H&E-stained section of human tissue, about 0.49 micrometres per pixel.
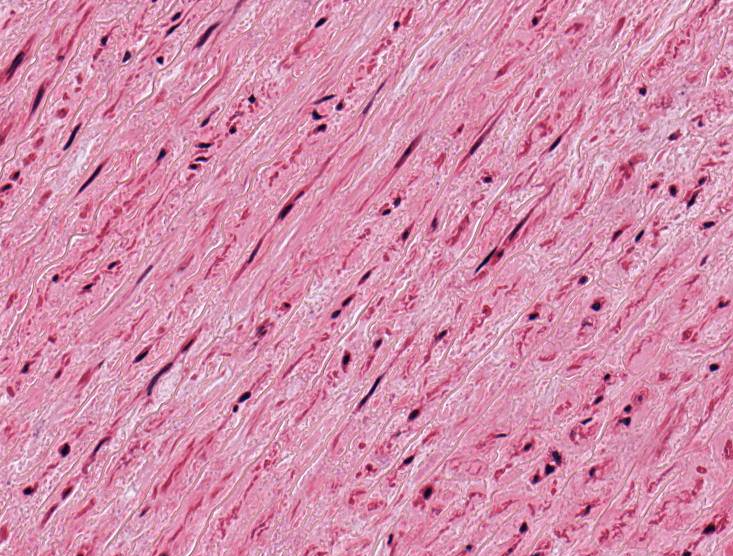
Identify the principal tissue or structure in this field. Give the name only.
tunica media of an artery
